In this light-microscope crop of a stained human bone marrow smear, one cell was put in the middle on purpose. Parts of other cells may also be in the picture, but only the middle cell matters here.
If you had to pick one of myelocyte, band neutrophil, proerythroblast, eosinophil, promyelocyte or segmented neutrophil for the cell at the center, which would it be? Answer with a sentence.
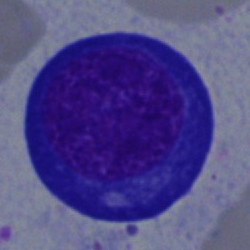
Standing at the centre of this crop is a proerythroblast.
